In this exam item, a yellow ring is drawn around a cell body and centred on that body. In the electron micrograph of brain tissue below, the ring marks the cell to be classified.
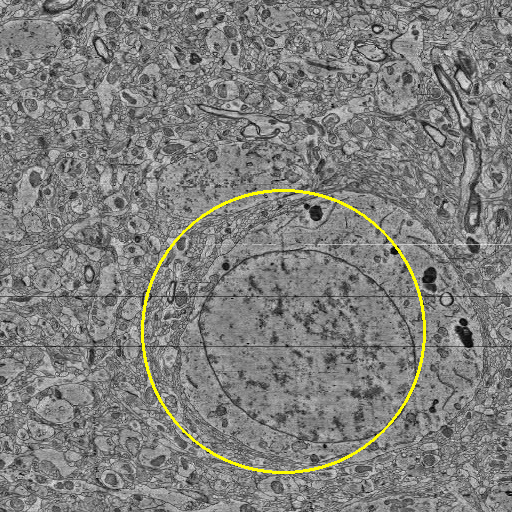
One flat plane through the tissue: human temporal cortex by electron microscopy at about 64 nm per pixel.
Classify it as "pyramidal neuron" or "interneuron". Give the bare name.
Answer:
pyramidal neuron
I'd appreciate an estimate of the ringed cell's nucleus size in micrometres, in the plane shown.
The nucleus is approximately 15 micrometers long by 12 micrometers wide in this plane.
